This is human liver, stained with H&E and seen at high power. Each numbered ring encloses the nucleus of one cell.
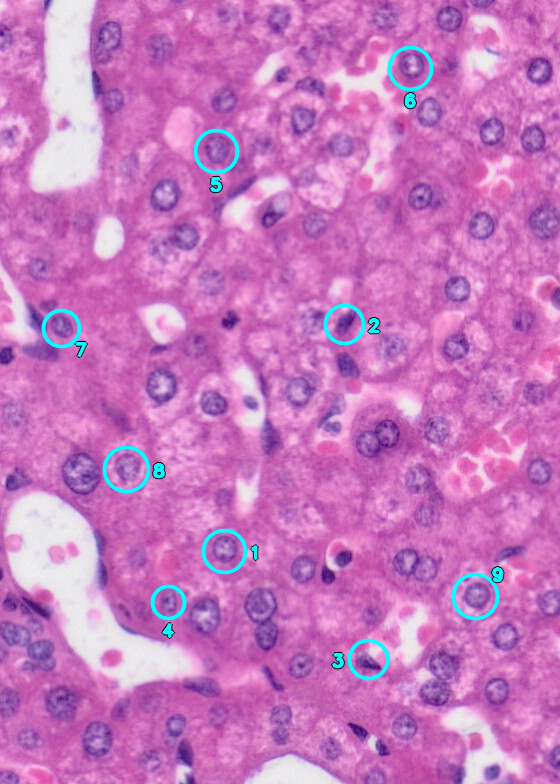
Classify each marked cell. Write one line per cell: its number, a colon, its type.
1: hepatocyte
2: fibroblast or stellate cell
3: endothelial cell
4: cholangiocyte
5: hepatocyte
6: hepatocyte
7: cholangiocyte
8: hepatocyte
9: hepatocyte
